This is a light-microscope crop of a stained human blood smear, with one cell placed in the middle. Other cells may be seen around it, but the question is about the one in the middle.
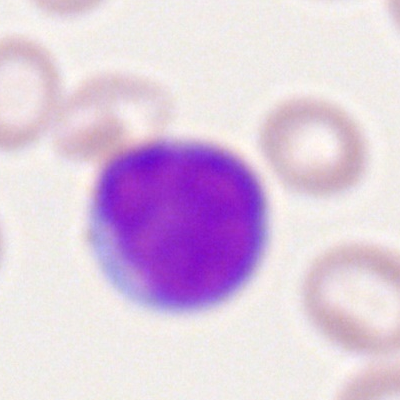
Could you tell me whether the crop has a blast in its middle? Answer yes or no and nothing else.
no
